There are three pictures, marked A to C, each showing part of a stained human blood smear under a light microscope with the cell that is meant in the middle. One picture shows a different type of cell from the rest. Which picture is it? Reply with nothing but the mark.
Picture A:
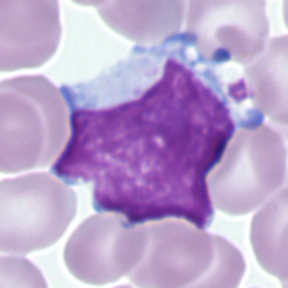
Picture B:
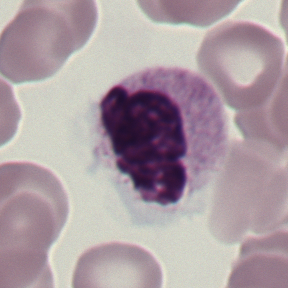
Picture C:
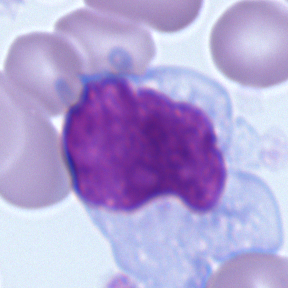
B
